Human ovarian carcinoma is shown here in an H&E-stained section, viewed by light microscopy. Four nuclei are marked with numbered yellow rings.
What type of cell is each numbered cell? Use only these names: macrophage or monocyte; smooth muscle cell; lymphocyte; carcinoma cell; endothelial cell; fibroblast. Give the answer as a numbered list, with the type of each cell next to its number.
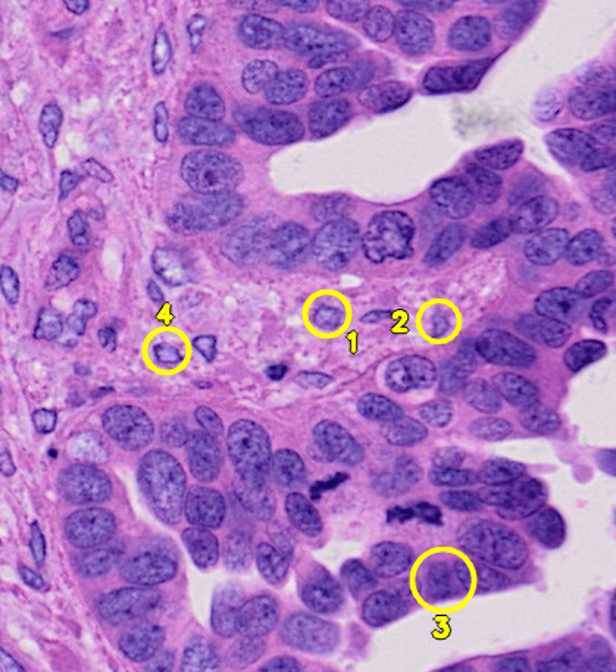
1. fibroblast
2. fibroblast
3. carcinoma cell
4. fibroblast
